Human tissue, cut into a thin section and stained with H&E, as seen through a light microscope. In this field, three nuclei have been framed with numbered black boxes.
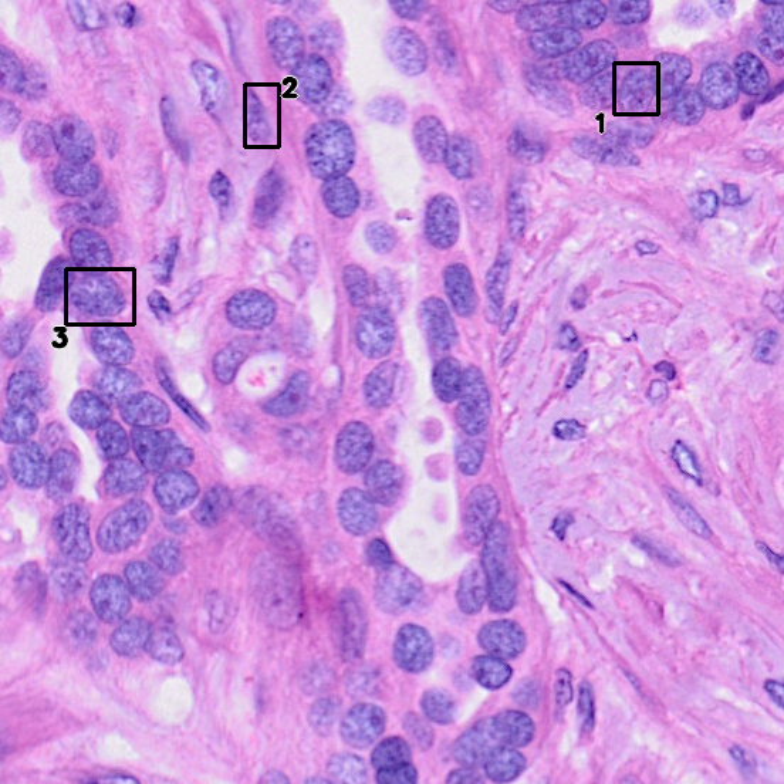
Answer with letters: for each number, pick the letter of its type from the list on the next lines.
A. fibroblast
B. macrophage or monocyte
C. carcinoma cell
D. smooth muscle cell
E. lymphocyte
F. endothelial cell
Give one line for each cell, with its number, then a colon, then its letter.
1: C
2: A
3: C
